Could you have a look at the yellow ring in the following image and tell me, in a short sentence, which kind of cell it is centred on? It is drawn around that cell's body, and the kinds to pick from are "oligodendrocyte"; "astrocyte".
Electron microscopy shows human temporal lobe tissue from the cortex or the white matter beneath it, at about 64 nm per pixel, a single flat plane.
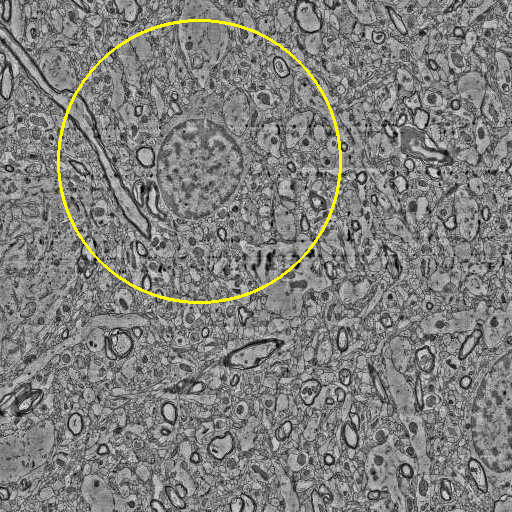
The ring is centred on the body of an oligodendrocyte.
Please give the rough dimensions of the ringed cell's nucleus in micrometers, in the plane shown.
Approximately 6 by 5 micrometers in this plane.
